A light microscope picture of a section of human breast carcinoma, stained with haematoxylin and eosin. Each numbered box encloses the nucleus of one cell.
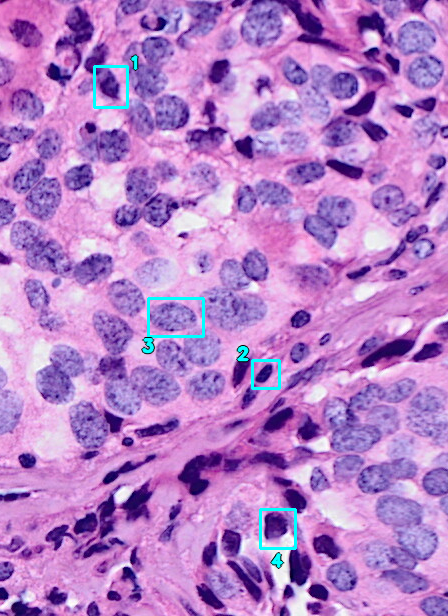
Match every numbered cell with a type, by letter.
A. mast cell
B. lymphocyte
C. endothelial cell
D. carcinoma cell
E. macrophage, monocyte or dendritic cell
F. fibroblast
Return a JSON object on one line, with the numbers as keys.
{"1": "D", "2": "B", "3": "D", "4": "D"}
